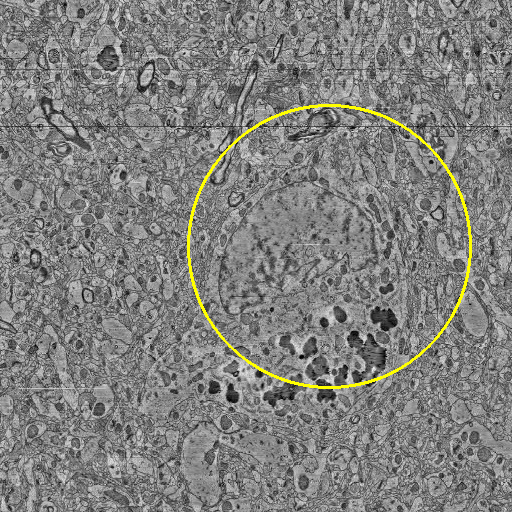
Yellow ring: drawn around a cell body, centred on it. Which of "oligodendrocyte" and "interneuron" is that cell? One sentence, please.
That cell body is from an interneuron.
